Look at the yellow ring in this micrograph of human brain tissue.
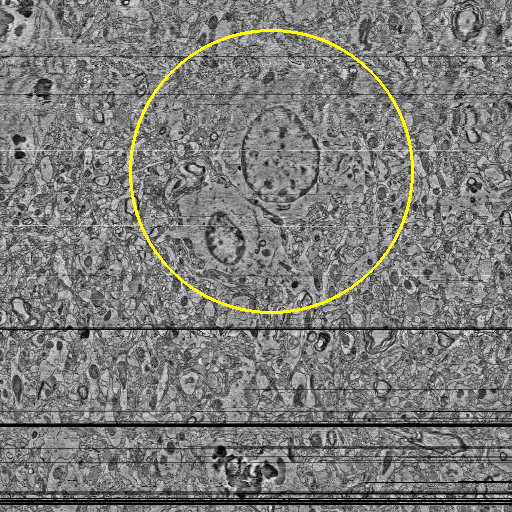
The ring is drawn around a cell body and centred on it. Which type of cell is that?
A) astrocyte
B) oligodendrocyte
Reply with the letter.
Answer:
A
